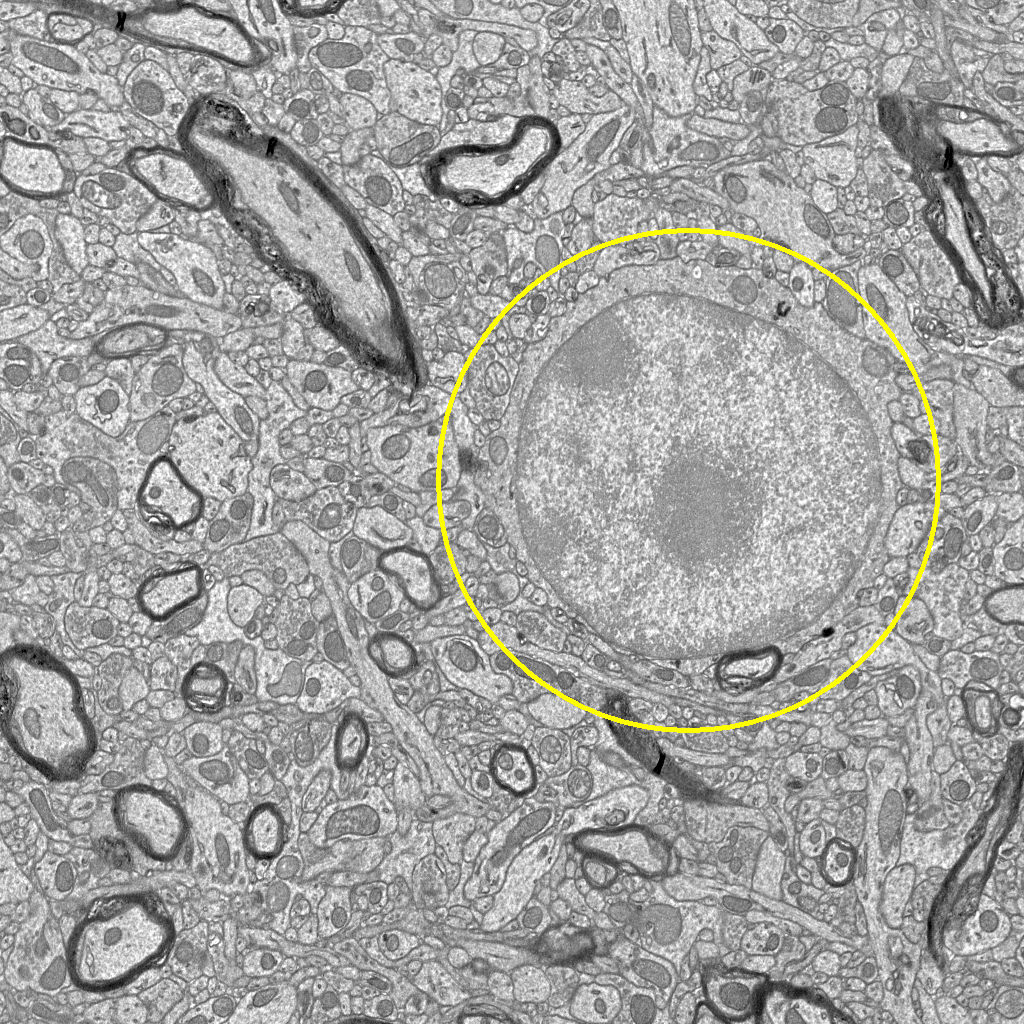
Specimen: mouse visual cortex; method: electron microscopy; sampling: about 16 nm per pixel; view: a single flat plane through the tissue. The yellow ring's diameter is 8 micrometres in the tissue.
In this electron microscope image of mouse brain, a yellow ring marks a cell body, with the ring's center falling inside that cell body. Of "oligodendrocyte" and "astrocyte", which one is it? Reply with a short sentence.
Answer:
It is an oligodendrocyte at the center of the ring.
